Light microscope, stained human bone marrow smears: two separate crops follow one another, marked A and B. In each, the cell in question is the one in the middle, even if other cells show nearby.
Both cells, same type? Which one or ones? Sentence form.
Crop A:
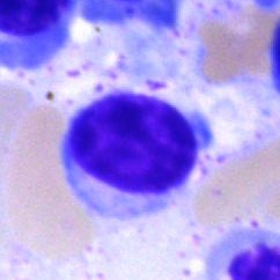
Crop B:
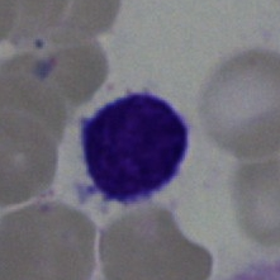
Yes, that holds, both crops show lymphocytes.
